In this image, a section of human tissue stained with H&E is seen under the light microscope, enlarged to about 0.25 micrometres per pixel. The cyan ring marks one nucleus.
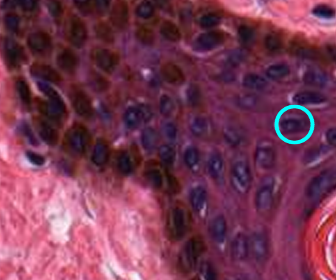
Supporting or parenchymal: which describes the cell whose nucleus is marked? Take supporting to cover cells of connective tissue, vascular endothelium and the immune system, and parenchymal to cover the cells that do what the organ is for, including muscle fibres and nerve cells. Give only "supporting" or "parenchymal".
parenchymal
